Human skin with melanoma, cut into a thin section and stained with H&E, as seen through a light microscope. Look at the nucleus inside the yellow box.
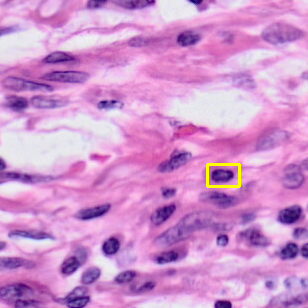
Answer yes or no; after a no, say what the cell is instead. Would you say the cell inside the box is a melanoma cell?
No, it is a plasma cell.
